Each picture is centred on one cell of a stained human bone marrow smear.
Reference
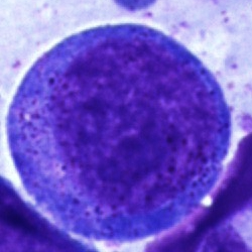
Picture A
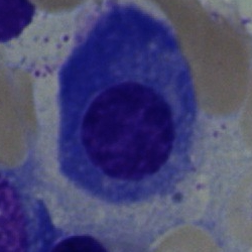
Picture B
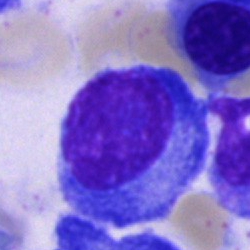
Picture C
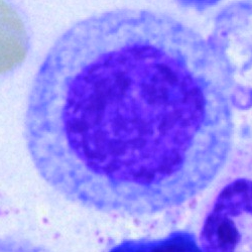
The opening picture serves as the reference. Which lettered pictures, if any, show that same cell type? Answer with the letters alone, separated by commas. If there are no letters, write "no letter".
C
